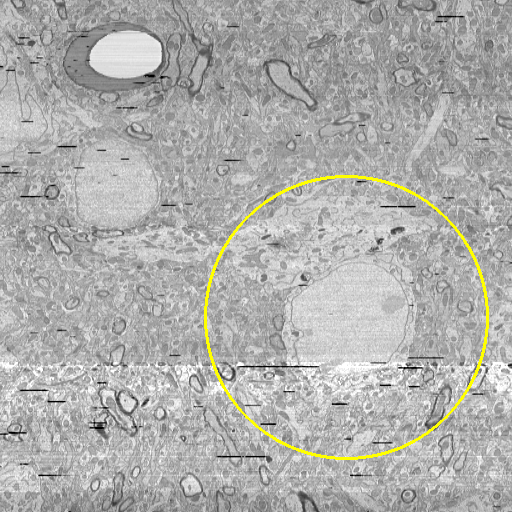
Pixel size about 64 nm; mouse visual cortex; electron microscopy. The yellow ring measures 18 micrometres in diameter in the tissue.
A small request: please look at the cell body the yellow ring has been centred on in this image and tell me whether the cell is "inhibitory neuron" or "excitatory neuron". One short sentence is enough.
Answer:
The cell marked by the ring is an excitatory neuron.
